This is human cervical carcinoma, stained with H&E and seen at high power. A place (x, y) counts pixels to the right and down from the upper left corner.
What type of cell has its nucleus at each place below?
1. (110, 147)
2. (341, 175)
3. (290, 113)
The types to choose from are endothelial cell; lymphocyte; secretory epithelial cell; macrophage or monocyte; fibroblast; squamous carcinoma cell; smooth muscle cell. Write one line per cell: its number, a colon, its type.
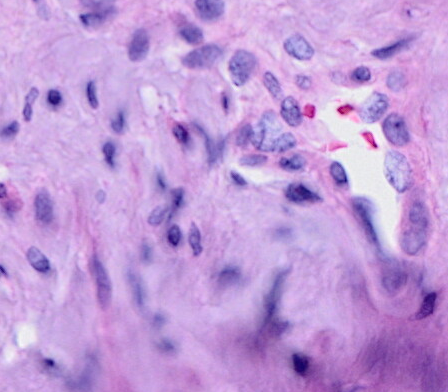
1: fibroblast
2: endothelial cell
3: endothelial cell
